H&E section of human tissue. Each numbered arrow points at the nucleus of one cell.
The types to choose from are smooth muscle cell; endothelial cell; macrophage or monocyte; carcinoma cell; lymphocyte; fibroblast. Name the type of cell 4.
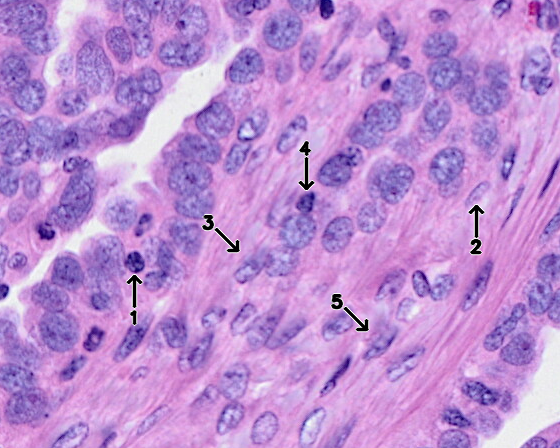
lymphocyte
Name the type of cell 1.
lymphocyte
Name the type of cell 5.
fibroblast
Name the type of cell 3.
fibroblast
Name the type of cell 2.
fibroblast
